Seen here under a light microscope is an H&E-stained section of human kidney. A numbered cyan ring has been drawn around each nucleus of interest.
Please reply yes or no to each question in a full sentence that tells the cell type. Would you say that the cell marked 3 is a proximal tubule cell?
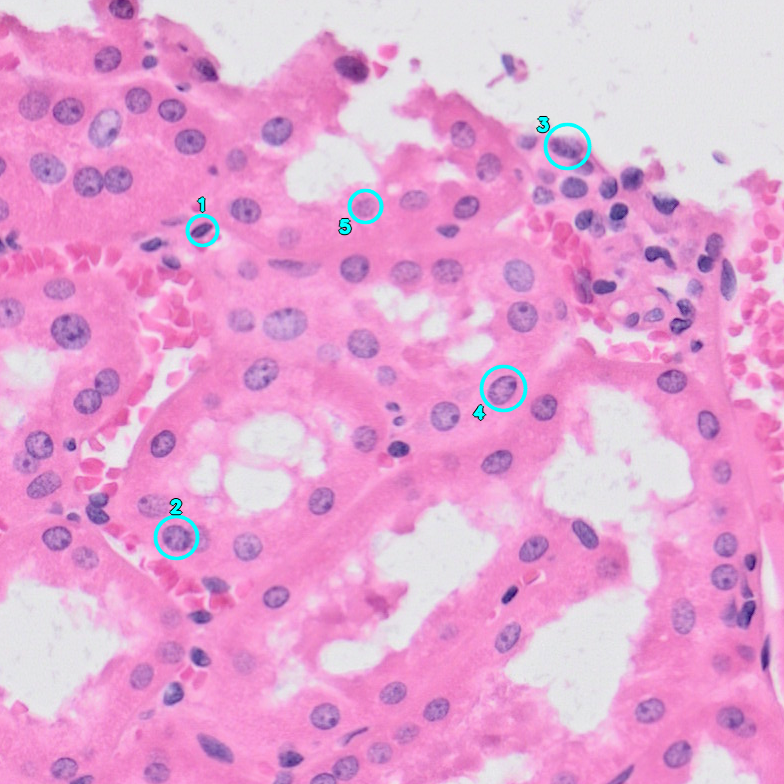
No, a collecting duct cell, not a proximal tubule cell, is the cell with number 3.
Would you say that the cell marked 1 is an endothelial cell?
Yes, kindly take note: the cell numbered 1 is an endothelial cell.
